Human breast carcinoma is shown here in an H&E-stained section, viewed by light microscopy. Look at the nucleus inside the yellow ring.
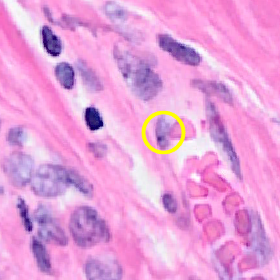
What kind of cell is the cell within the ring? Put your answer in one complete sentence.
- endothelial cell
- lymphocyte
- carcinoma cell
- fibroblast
In this preparation, the cell within the ring is an endothelial cell.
